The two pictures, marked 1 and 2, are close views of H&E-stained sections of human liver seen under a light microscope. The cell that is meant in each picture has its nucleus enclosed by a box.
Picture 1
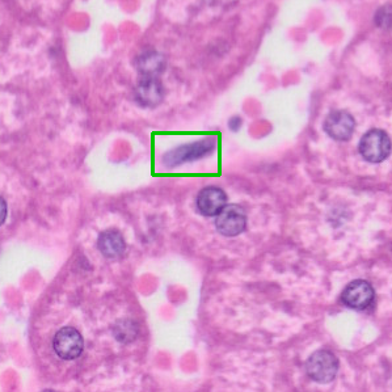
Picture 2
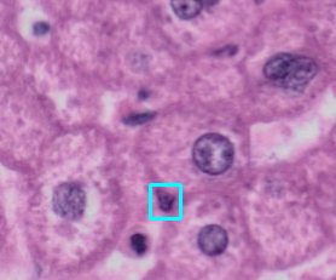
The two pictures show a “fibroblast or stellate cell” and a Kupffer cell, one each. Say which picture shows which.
1: Kupffer cell
2: fibroblast or stellate cell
